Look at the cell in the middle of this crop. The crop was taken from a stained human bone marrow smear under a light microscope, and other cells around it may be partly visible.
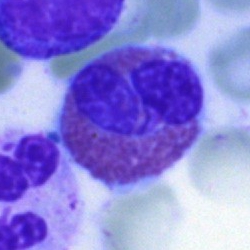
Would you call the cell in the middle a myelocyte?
no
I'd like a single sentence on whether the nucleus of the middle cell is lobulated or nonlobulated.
Two or more lobes make up the nucleus of this cell.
